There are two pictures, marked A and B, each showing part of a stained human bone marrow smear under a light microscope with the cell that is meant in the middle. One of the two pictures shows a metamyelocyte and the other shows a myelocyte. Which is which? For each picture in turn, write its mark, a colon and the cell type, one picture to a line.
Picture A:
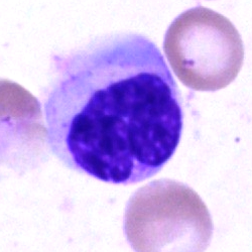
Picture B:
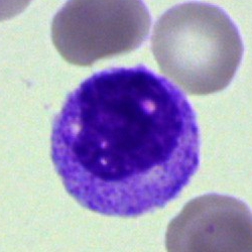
A: metamyelocyte
B: myelocyte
